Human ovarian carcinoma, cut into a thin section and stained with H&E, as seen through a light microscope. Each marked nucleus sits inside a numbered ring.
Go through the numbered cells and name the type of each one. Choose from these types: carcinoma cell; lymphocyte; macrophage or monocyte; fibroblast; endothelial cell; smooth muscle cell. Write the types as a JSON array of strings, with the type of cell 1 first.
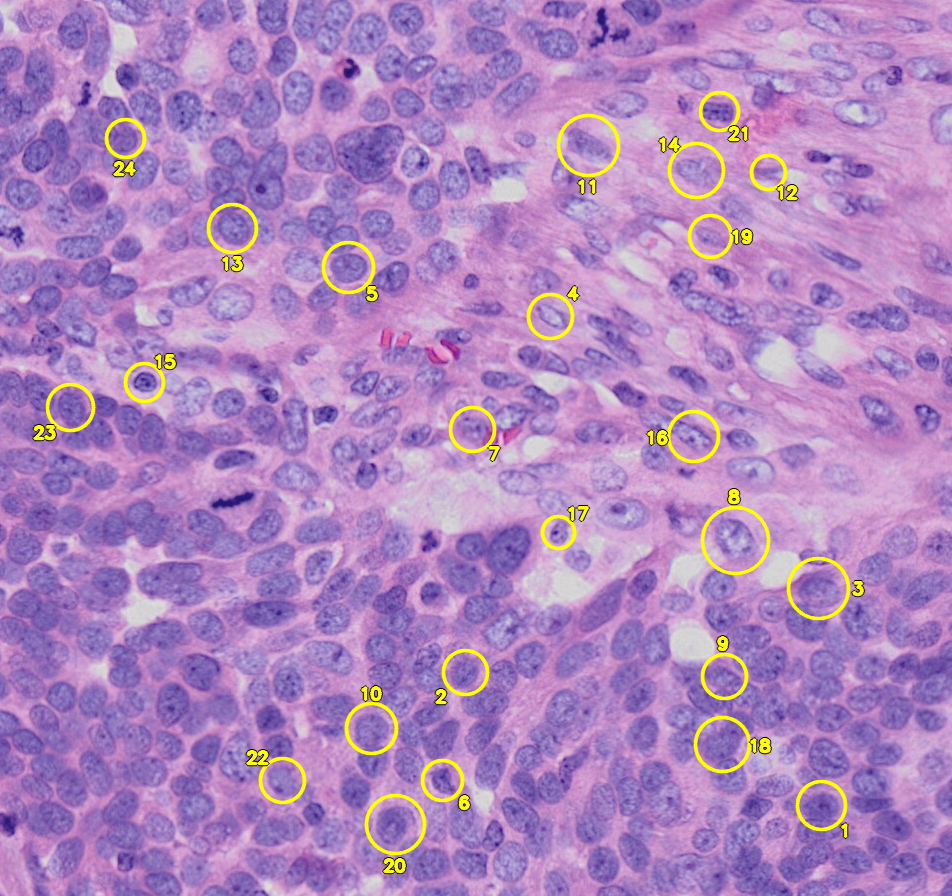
["carcinoma cell", "carcinoma cell", "carcinoma cell", "fibroblast", "carcinoma cell", "macrophage or monocyte", "endothelial cell", "fibroblast", "carcinoma cell", "carcinoma cell", "fibroblast", "fibroblast", "carcinoma cell", "fibroblast", "lymphocyte", "endothelial cell", "macrophage or monocyte", "carcinoma cell", "fibroblast", "carcinoma cell", "macrophage or monocyte", "carcinoma cell", "carcinoma cell", "carcinoma cell"]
